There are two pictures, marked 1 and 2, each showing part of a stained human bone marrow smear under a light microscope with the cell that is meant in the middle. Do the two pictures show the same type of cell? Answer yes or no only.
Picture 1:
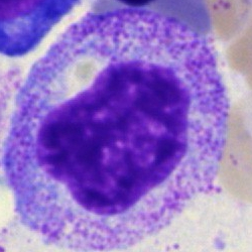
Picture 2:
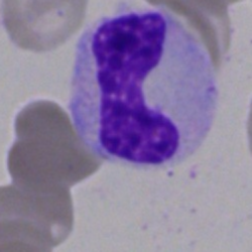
no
